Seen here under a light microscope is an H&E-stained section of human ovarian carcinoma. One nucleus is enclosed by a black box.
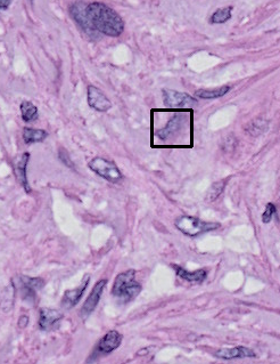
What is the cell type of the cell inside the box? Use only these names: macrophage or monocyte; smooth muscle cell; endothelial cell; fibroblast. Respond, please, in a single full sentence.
By cell type, the cell inside the box is a fibroblast.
